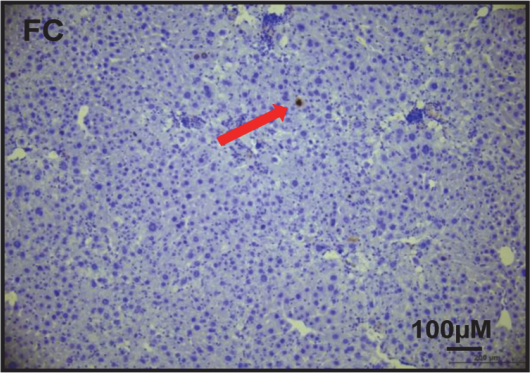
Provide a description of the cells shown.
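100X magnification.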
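This is a low-power view of liver tissue made up of closely packed hepatocytes, whose round nuclei stain blue against a paler blue-grey cytoplasm. The cells are arranged in sheets and plates, separated by narrow pale channels, with a few larger irregular pale spaces scattered through the field. A few small clusters of darker, densely packed blue nuclei stand out from the evenly spaced hepatocyte nuclei. A single nucleus stained dark brown, marked by a red arrow near the upper centre, stands out against the blue of the surrounding cells.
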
